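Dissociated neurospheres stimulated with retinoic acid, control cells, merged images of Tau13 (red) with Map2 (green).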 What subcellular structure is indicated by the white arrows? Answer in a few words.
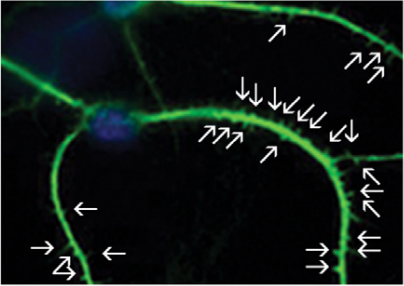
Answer: spiny projections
